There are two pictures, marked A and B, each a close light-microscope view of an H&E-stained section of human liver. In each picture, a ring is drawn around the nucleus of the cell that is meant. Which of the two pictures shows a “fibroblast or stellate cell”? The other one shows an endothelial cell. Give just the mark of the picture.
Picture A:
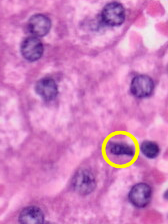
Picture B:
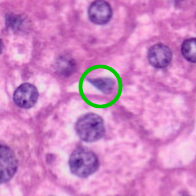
A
